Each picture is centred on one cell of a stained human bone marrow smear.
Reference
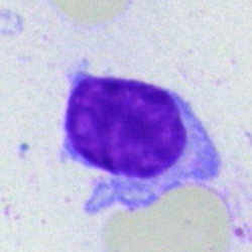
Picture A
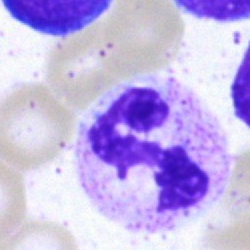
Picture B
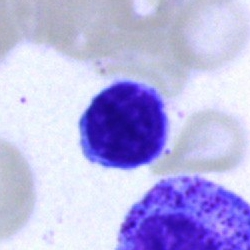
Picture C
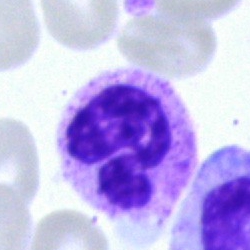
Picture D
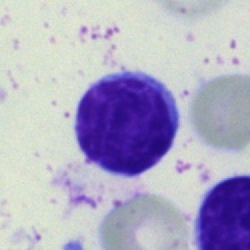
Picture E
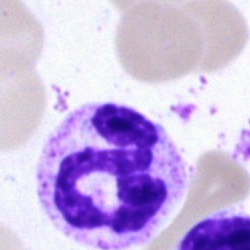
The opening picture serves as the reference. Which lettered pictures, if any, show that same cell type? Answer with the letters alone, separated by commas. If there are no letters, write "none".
B, D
